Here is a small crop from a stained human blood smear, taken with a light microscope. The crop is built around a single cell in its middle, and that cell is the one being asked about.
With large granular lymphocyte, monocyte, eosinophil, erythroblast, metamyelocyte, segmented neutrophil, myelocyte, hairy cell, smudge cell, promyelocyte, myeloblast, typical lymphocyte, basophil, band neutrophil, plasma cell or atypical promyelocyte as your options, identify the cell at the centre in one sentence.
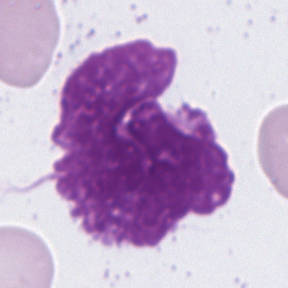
The cell in the exact centre of the crop is a smudge cell.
